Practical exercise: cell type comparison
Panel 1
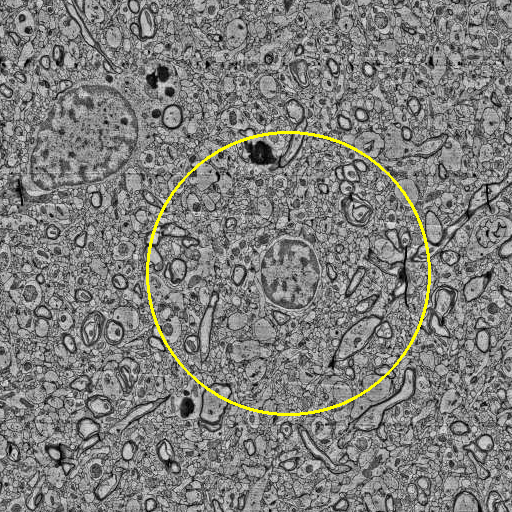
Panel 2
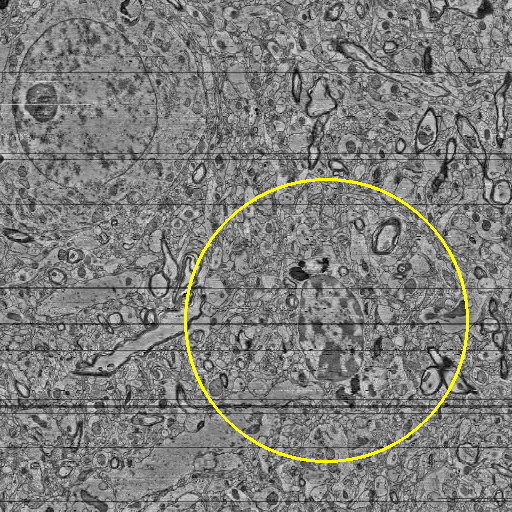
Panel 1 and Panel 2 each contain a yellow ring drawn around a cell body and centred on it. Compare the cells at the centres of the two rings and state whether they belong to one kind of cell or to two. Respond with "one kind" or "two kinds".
one kind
